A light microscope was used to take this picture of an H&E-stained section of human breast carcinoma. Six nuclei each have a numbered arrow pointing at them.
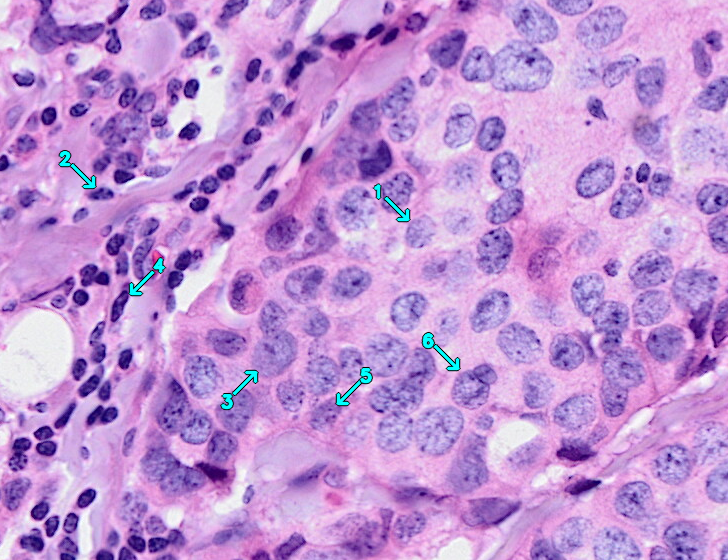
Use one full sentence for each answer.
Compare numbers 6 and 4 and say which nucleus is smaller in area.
With nucleus 6 about 3 times its size, nucleus 4 is the smaller of the two.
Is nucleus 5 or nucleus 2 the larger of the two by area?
Nucleus 5 is the larger one, covering about 2.5 times the area of nucleus 2.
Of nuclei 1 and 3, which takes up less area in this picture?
The smaller nucleus is 1, and 3 covers roughly 2 times its area.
